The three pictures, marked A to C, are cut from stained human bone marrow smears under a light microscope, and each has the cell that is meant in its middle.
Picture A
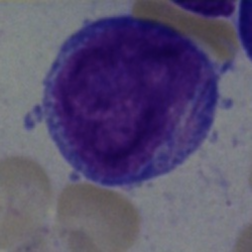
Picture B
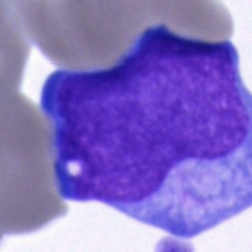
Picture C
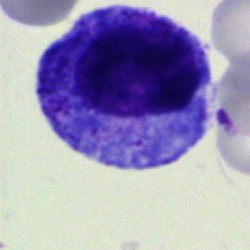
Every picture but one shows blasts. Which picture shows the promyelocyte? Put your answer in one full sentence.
Picture C shows the promyelocyte.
